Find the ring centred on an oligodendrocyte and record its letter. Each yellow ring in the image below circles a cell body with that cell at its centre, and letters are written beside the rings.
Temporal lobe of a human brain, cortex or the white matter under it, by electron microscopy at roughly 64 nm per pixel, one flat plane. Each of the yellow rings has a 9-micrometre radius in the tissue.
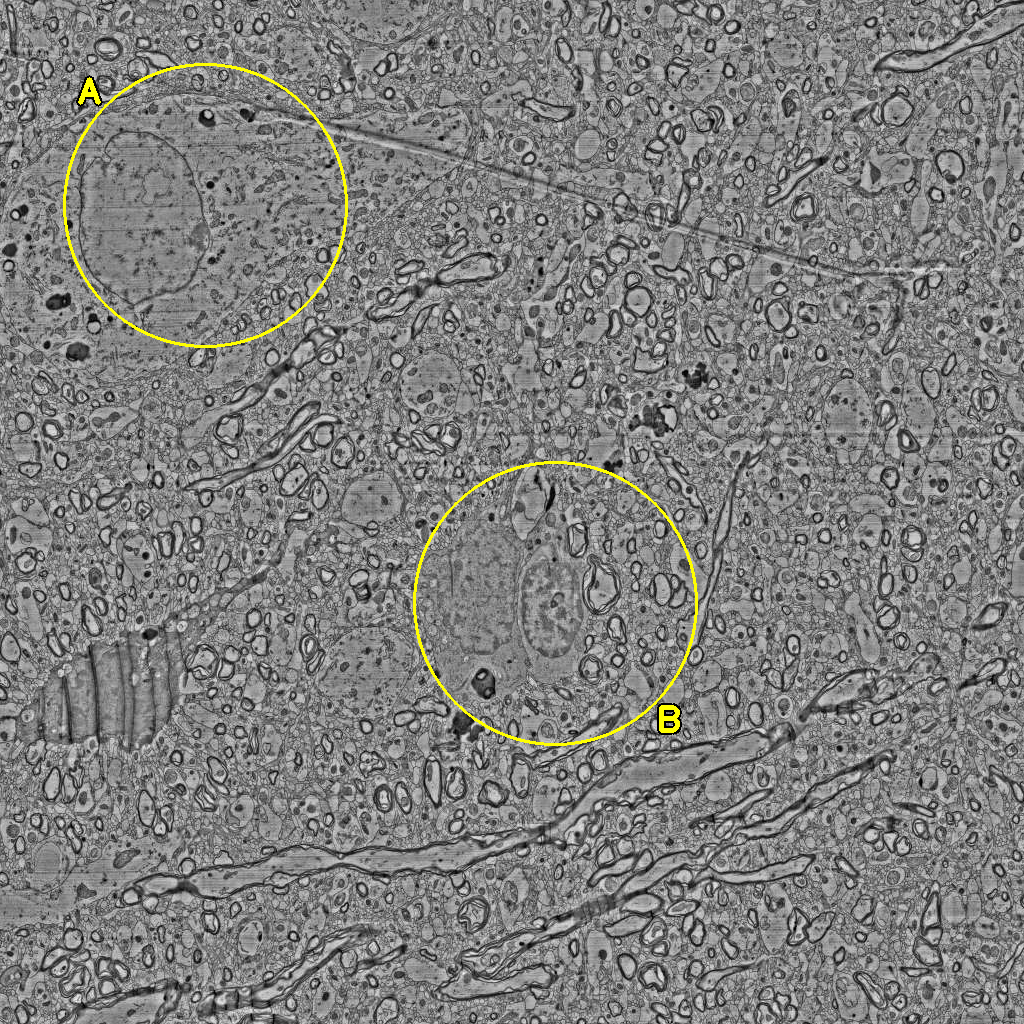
B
